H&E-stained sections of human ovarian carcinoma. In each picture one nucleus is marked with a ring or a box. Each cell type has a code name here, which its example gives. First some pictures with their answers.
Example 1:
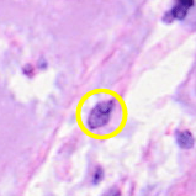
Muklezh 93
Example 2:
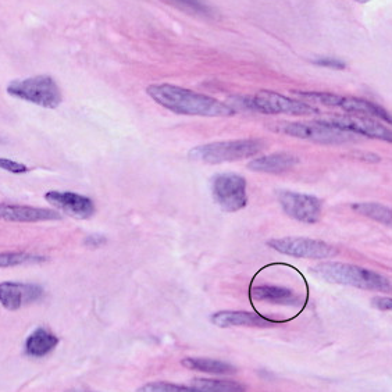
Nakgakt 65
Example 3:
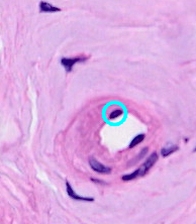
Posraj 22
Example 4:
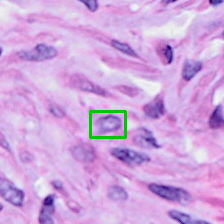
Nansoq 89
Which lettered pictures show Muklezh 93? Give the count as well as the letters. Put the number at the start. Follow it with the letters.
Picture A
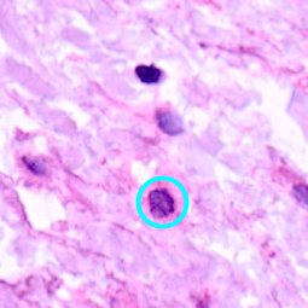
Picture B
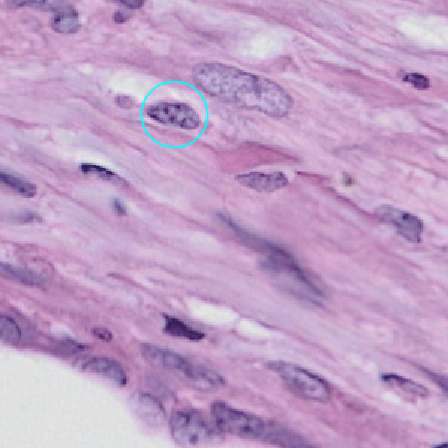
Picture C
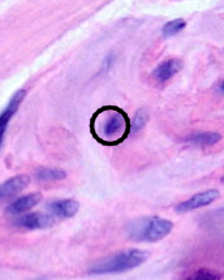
2, namely A, B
